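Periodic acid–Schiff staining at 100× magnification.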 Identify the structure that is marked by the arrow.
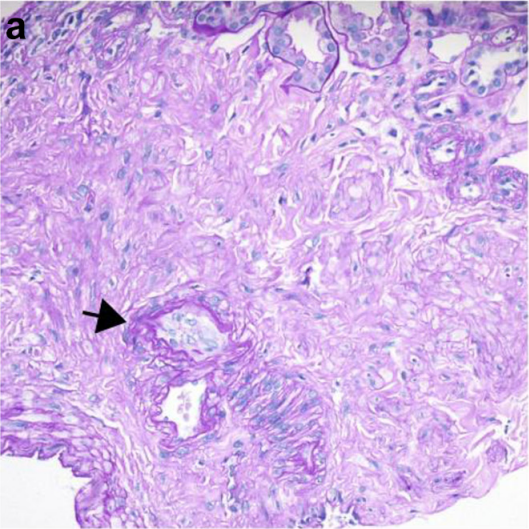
Small arteries/arterioles.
